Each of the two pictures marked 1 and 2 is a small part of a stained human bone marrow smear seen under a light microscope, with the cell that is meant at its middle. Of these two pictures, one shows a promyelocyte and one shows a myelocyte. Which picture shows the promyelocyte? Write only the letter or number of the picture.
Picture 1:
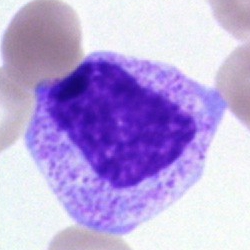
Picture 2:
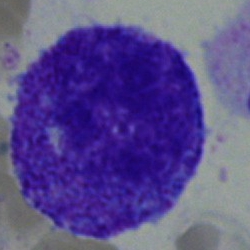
2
